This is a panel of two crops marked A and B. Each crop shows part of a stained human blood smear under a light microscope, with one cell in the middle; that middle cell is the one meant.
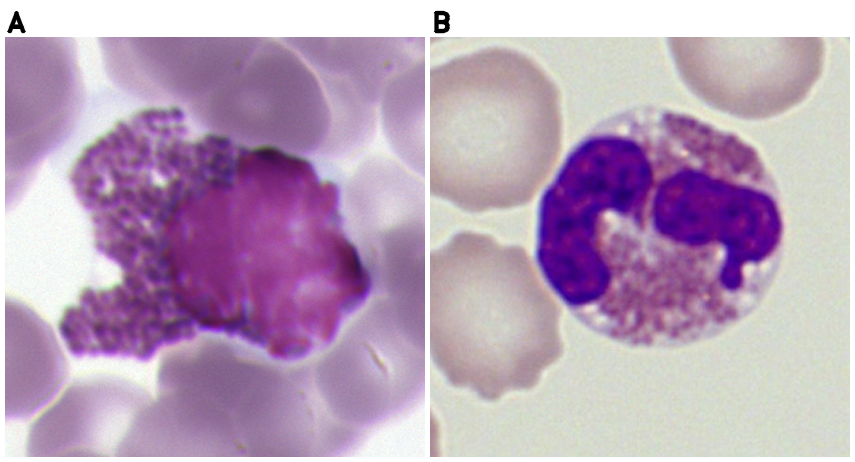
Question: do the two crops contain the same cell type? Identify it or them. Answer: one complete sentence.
Yes, put down eosinophils for both crops.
